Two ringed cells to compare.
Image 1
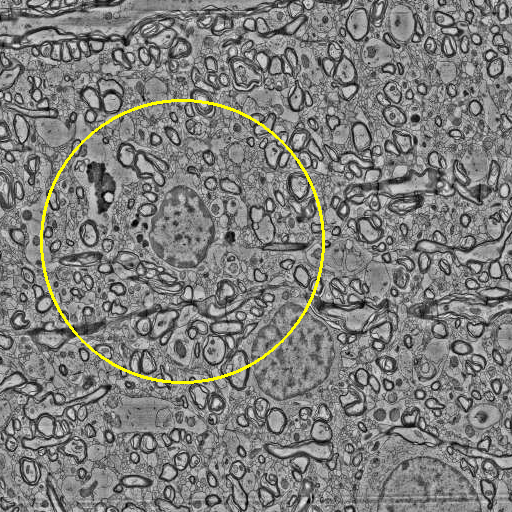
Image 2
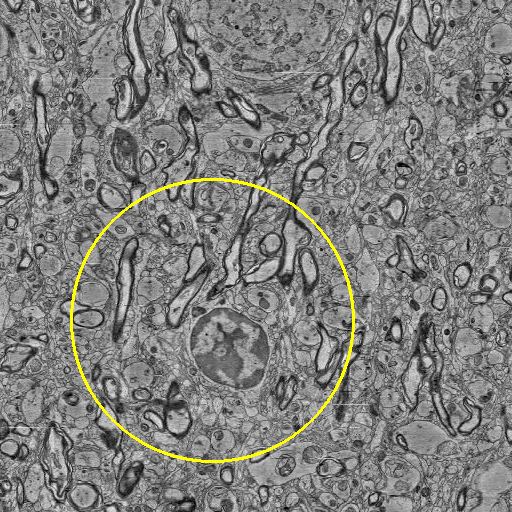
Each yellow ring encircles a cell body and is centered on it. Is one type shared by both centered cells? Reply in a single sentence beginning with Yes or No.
Yes, a single type is shared by the two cells at the centers of the rings.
